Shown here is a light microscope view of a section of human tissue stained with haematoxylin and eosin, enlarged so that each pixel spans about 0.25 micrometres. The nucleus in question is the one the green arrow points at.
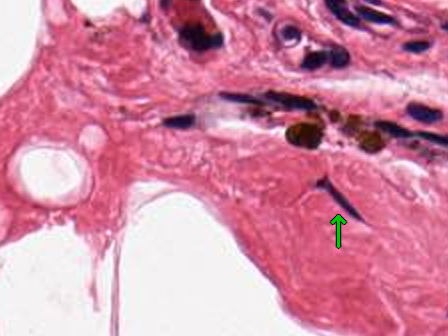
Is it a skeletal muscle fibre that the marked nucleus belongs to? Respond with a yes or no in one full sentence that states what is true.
No, a skeletal muscle fibre does not own the marked nucleus, which belongs to a supporting cell.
